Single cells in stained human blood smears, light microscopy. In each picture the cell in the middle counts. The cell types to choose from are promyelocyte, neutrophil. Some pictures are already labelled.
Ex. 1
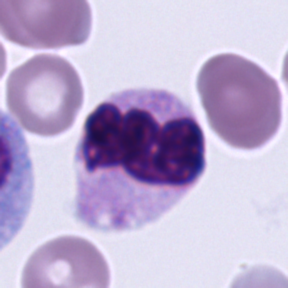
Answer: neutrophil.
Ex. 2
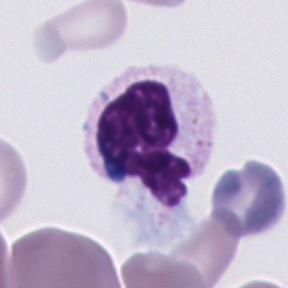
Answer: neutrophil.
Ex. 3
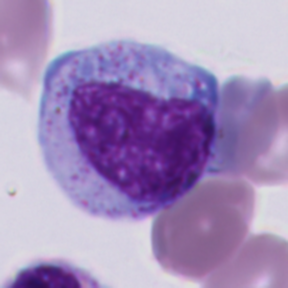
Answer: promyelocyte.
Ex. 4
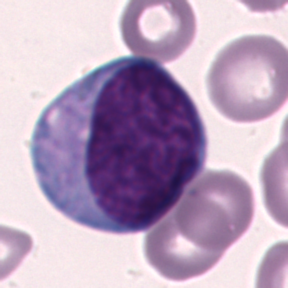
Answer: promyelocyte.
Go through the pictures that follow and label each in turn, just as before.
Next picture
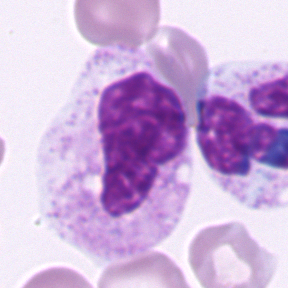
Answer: neutrophil.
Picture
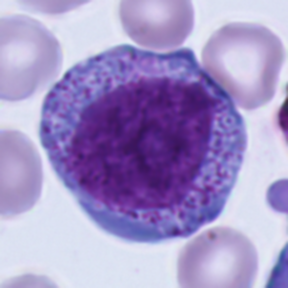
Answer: promyelocyte.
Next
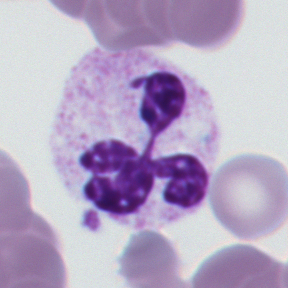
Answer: neutrophil.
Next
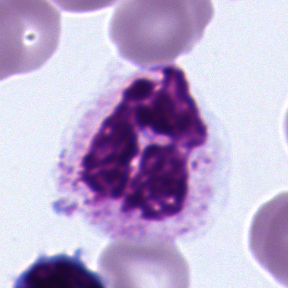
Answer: neutrophil.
